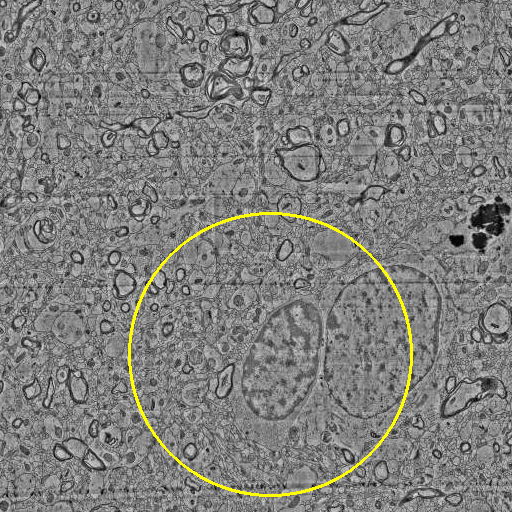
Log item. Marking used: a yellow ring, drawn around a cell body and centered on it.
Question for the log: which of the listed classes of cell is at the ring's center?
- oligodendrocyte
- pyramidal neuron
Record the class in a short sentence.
At the center of the ring lies an oligodendrocyte.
